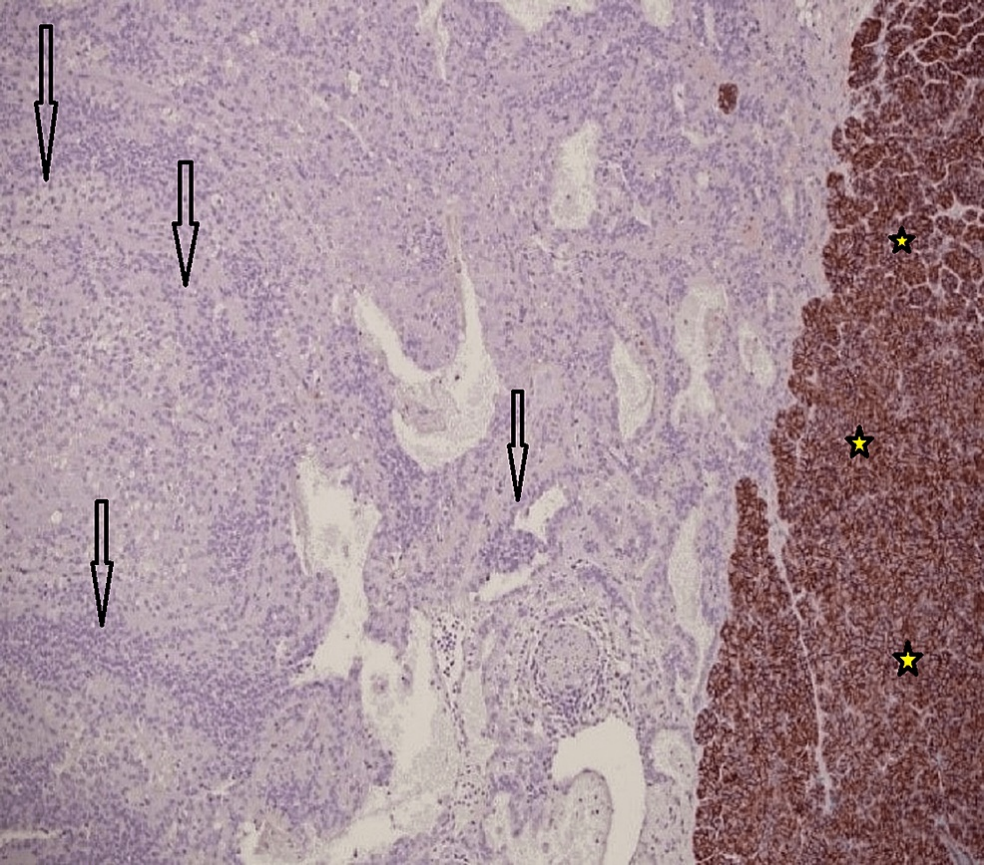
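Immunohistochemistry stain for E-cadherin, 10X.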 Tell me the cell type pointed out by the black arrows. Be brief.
tumor cells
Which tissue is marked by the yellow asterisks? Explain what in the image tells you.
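Non-neoplastic tissue. The asterisks lie on a strip of tissue at the right edge that is stained dark brown throughout. This brown tissue is divided into small lobules and nests. It meets the unstained cell sheets along a sharp border.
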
